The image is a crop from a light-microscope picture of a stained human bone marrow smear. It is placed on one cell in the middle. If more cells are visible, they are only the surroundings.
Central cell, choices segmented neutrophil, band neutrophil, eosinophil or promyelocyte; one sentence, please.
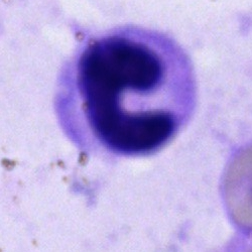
Where the crop is centred, there is a band neutrophil.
